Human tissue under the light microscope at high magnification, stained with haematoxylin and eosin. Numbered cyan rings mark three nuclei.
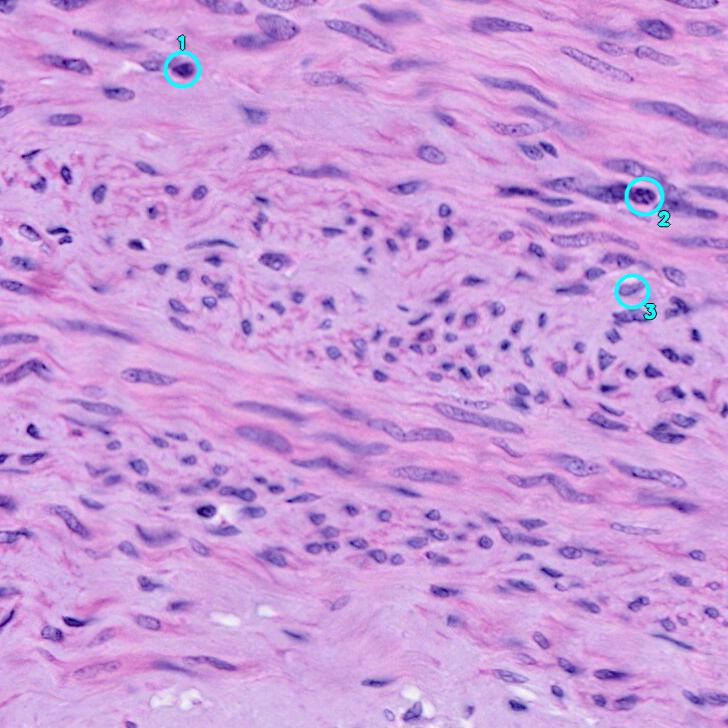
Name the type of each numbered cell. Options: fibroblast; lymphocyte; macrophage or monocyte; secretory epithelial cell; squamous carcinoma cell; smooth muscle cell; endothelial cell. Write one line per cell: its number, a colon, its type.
1: lymphocyte
2: lymphocyte
3: fibroblast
